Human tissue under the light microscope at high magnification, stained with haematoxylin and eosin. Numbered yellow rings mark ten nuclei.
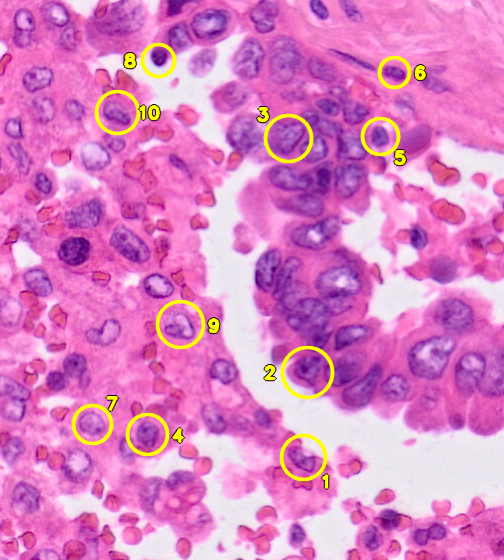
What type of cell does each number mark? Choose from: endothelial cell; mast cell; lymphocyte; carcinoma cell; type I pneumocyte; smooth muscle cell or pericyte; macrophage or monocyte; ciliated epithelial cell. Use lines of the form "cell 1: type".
cell 1: macrophage or monocyte
cell 2: carcinoma cell
cell 3: carcinoma cell
cell 4: macrophage or monocyte
cell 5: lymphocyte
cell 6: mast cell
cell 7: macrophage or monocyte
cell 8: lymphocyte
cell 9: macrophage or monocyte
cell 10: macrophage or monocyte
